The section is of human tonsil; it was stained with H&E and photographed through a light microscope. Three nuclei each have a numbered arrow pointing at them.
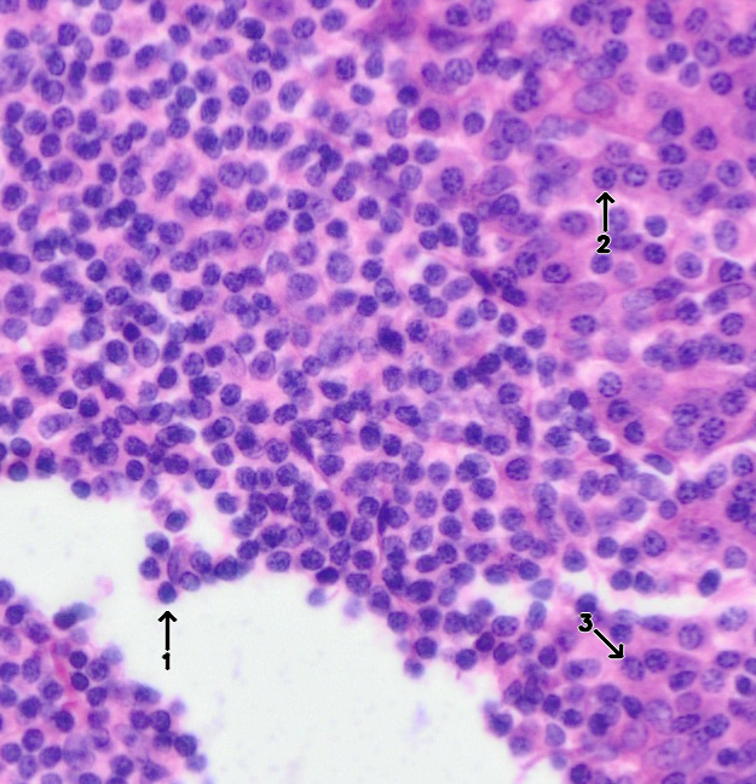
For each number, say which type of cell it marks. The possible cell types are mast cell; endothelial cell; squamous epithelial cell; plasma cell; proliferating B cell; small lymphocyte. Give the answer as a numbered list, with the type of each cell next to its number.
1. small lymphocyte
2. plasma cell
3. plasma cell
